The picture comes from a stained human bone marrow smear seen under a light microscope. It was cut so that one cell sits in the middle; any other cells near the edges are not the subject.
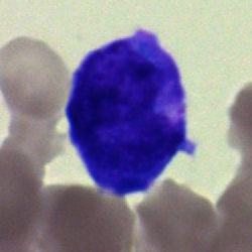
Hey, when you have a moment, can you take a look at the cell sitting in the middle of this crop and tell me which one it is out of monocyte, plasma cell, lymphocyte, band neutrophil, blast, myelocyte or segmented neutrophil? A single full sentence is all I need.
The identification for the central cell is a blast.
